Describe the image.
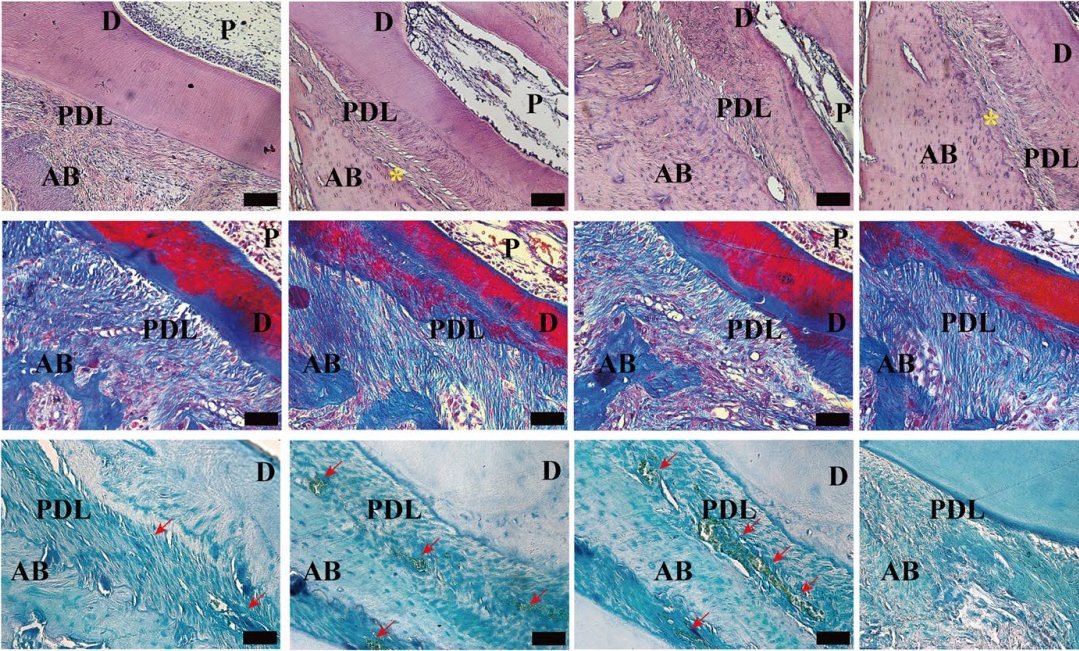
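A grid of sections across the tooth root shows a band of dense dentin with loose pulp to one side and a fibrous ligament running obliquely to the alveolar bone on the other. The bone holds scattered cells in lacunae. In the bottom row, dark granular cells lie within the ligament and against the bone surface.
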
